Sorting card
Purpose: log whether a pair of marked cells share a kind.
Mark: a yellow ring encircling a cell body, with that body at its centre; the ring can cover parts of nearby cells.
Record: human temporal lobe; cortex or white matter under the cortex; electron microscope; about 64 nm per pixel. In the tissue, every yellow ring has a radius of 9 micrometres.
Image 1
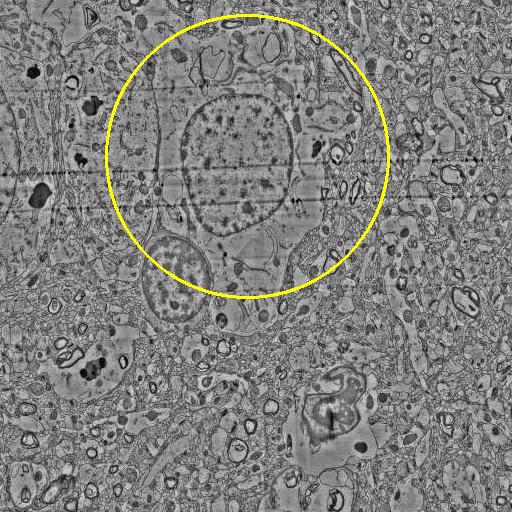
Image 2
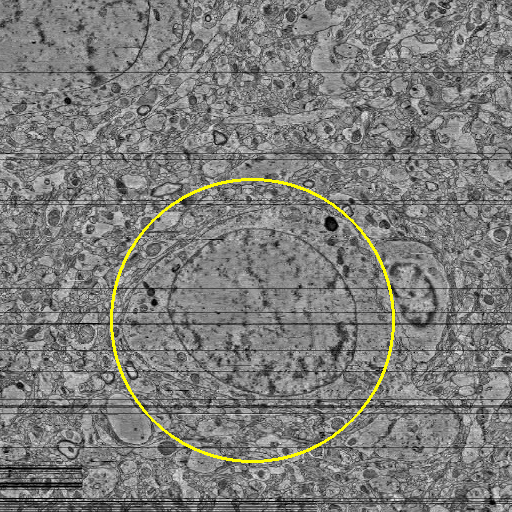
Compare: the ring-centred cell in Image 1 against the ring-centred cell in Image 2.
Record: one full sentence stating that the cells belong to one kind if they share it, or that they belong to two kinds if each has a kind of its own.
Across Images 1 and 2, the two ring-centred cells belong to two kinds.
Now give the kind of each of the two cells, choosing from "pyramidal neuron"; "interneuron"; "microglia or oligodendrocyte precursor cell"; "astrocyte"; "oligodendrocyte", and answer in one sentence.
The cell in the first picture is an astrocyte, and the cell in the second is a pyramidal neuron.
